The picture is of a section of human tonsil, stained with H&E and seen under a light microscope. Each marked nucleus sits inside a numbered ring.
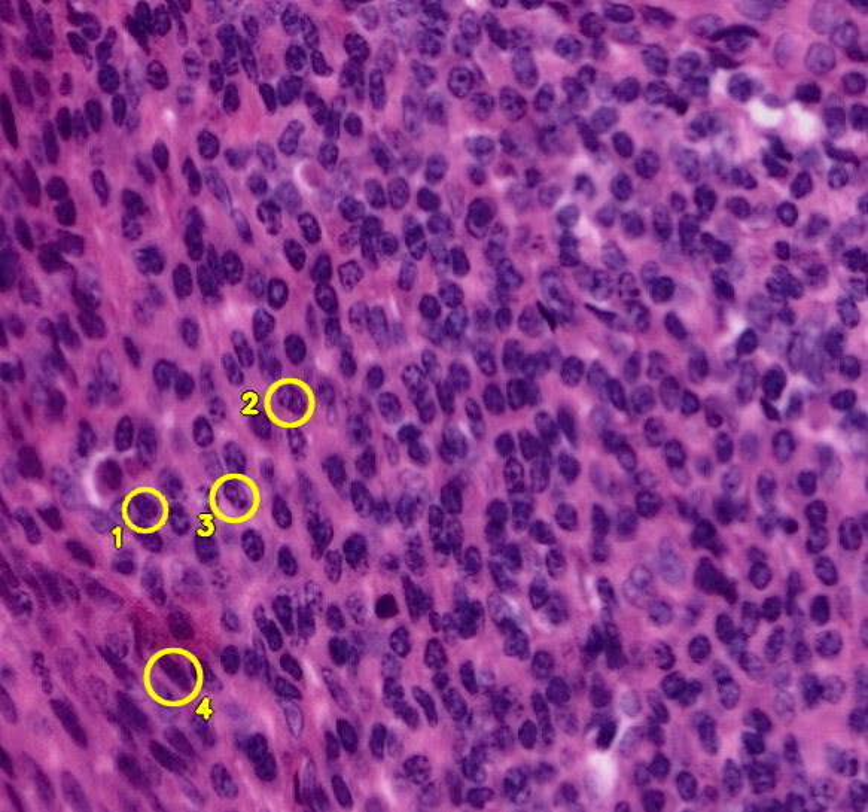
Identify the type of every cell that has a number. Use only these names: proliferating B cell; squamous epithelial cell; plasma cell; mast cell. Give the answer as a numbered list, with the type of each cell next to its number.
1. plasma cell
2. plasma cell
3. plasma cell
4. squamous epithelial cell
